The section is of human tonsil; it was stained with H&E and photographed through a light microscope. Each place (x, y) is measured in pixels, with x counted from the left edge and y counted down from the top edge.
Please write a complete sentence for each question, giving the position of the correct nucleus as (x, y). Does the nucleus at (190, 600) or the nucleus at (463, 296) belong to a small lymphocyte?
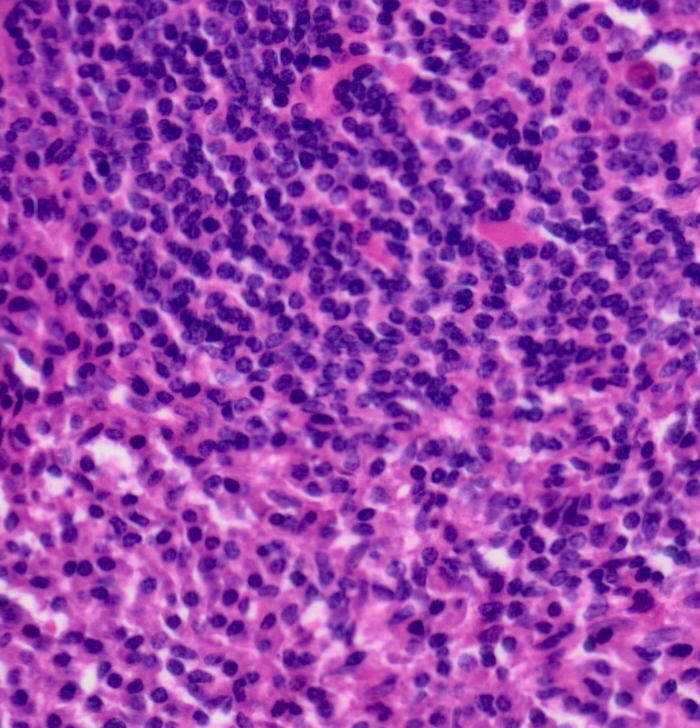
The nucleus of a small lymphocyte lies at (463, 296), not at the other position.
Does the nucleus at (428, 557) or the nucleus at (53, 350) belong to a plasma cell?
Answering which nucleus it is: the one at (428, 557), belonging to a plasma cell.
